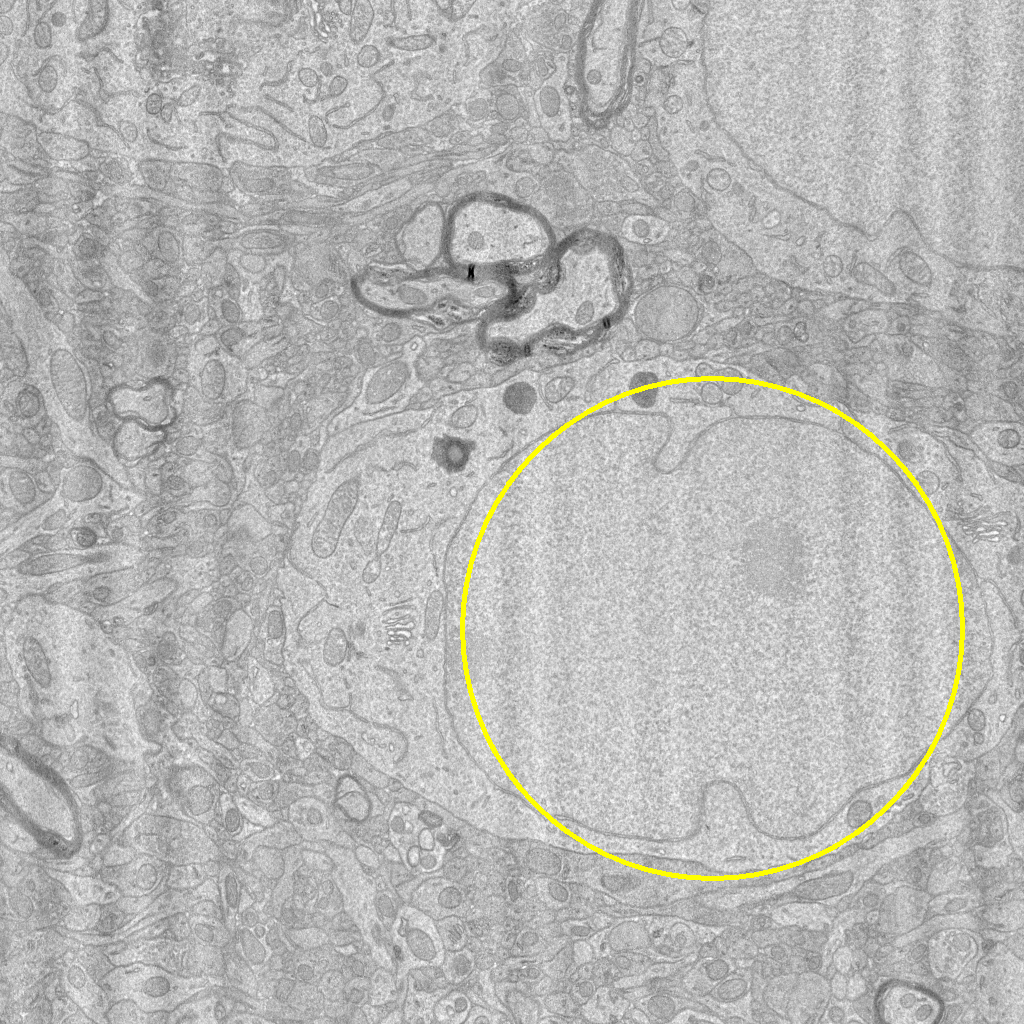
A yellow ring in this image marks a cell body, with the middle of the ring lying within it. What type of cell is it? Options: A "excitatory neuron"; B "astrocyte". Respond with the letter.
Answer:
A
